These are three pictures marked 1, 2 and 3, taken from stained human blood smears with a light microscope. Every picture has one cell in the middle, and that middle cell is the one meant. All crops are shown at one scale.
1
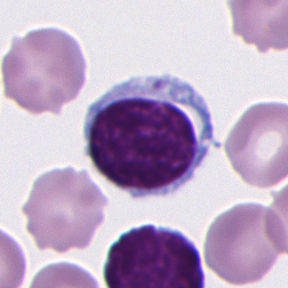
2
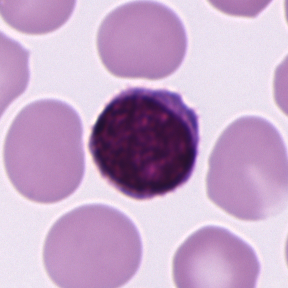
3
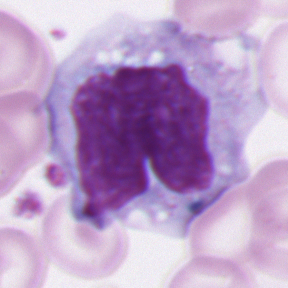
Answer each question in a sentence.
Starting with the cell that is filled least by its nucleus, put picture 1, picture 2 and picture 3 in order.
From the least filled to the most, the order is 3, 1, 2.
